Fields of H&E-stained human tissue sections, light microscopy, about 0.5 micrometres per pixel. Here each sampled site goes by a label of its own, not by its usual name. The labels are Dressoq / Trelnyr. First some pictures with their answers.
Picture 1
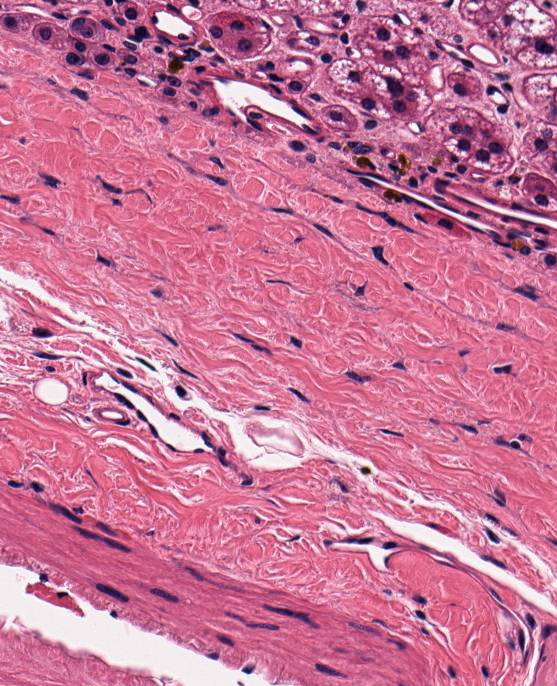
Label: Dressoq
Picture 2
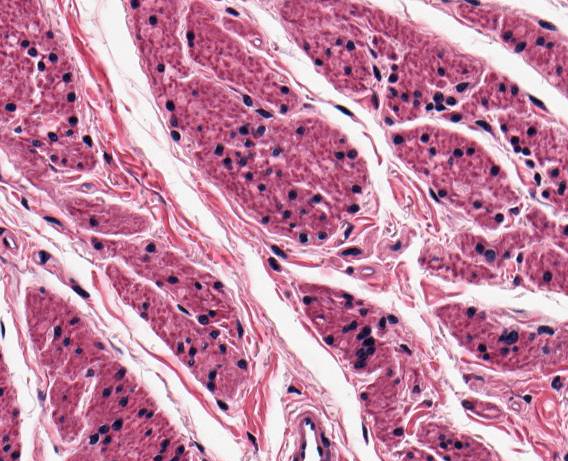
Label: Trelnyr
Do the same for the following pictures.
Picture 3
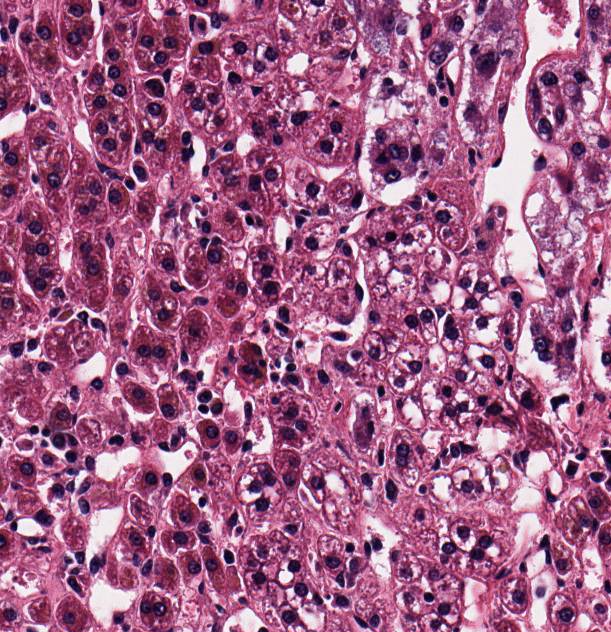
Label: Dressoq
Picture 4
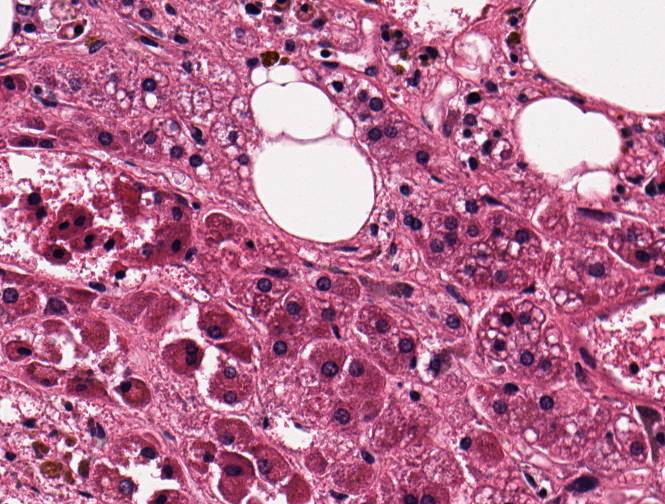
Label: Dressoq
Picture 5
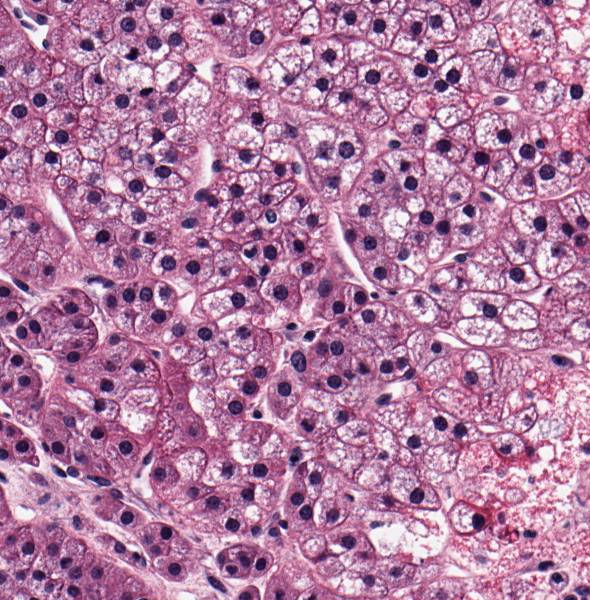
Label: Dressoq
